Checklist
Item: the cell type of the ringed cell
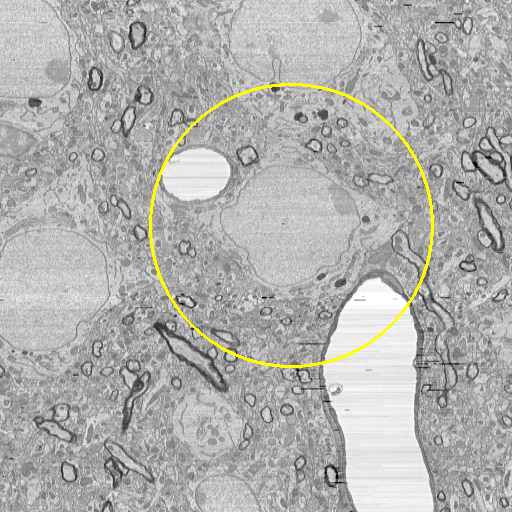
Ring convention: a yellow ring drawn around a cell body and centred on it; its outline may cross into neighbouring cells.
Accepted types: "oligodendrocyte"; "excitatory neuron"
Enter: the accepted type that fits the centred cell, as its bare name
excitatory neuron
